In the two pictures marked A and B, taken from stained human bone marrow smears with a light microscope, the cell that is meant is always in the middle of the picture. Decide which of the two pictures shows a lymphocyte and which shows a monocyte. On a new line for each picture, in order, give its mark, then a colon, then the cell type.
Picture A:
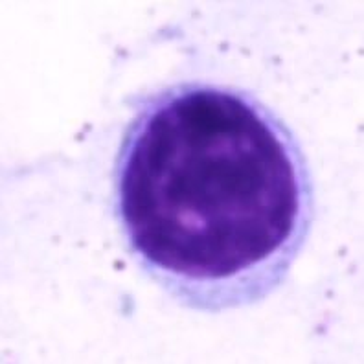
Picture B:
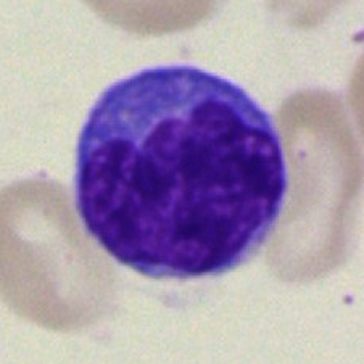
A: lymphocyte
B: monocyte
